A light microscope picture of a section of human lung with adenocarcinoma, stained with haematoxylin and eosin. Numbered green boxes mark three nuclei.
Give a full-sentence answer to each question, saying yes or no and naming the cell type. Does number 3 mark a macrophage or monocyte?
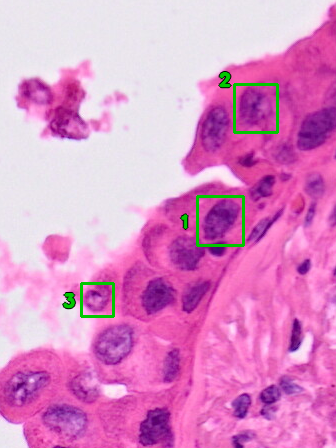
Yes, regarding cell number 3, it is a macrophage or monocyte.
